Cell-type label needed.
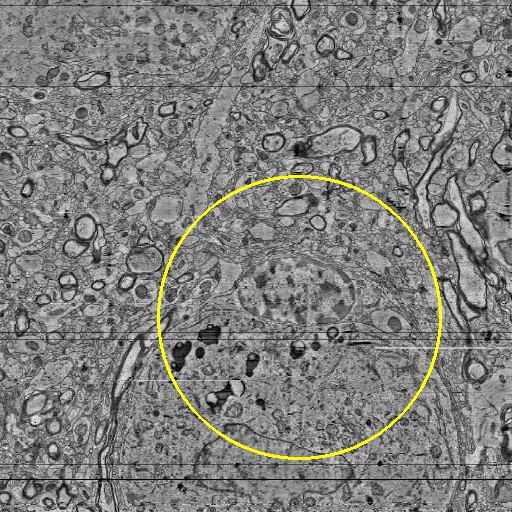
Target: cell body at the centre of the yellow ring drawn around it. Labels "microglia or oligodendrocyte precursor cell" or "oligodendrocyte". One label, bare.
microglia or oligodendrocyte precursor cell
